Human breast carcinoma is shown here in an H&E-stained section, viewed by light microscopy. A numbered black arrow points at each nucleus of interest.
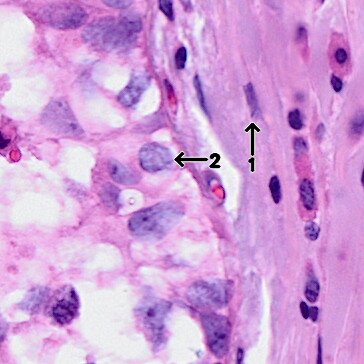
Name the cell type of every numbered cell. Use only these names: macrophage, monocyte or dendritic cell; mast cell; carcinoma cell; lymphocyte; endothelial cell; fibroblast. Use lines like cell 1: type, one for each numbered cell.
cell 1: fibroblast
cell 2: carcinoma cell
